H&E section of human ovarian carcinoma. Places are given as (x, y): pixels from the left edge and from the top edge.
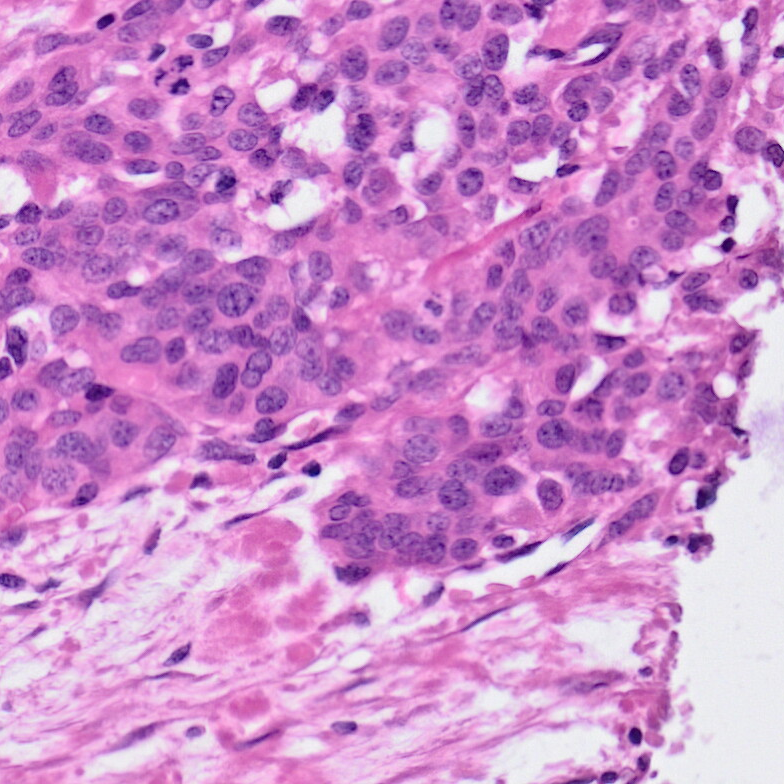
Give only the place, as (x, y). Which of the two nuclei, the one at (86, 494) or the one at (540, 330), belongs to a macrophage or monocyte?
(86, 494)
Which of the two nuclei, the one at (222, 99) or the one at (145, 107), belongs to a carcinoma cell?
(145, 107)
